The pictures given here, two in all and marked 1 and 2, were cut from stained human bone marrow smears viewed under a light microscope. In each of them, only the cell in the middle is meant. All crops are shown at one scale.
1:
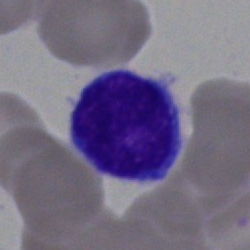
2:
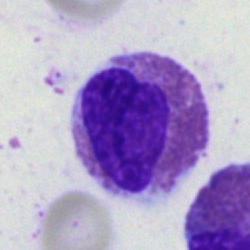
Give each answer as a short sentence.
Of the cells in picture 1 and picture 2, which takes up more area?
It is the cell in picture 2, about 1.5 times as large in area as the cell in picture 1.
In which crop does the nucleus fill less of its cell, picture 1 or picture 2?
Of the two, the nucleus in picture 2 leaves more room for cytoplasm.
